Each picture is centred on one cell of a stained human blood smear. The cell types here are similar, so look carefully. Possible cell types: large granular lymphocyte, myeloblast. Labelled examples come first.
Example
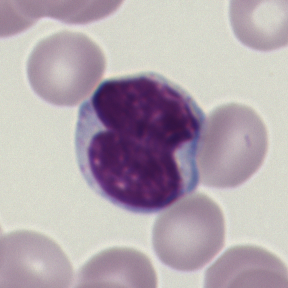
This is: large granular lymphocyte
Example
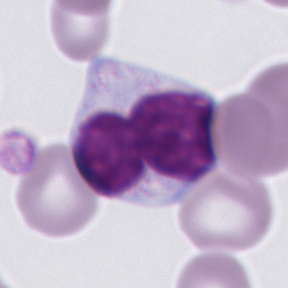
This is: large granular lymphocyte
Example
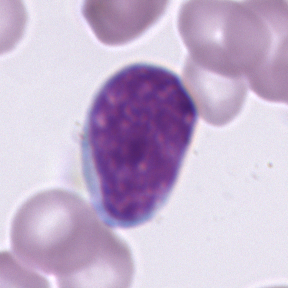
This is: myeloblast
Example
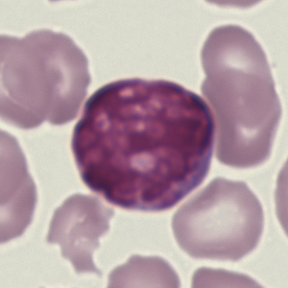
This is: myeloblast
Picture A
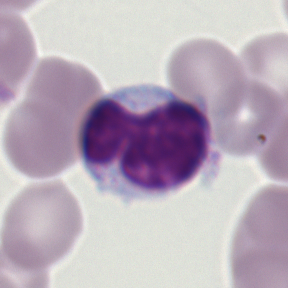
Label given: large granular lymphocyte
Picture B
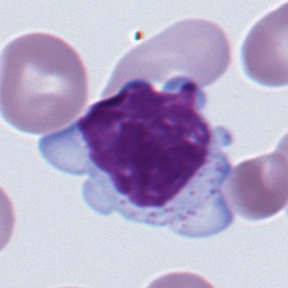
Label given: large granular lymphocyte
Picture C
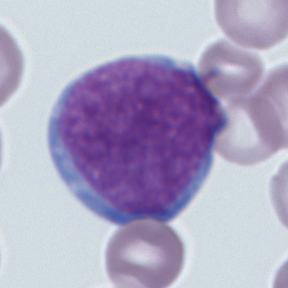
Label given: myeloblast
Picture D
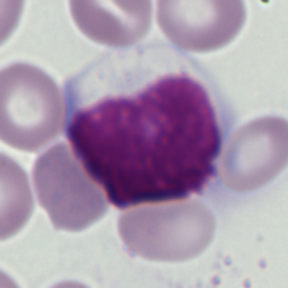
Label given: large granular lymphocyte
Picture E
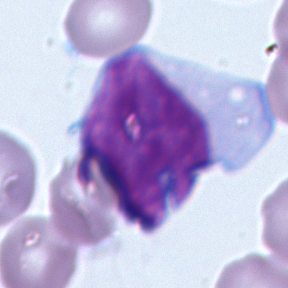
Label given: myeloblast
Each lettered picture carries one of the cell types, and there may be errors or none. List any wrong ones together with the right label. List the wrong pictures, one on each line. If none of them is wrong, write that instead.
Nothing to fix; every label fits.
